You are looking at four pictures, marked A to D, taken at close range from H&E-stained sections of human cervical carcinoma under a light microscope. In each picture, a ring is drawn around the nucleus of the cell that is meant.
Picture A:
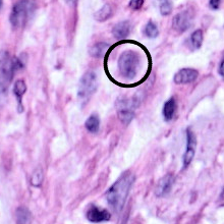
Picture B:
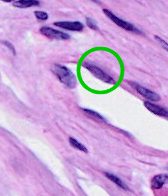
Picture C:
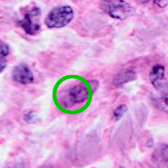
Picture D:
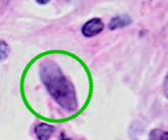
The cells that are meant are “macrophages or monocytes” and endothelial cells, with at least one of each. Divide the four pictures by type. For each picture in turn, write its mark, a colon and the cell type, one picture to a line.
A: macrophage or monocyte
B: endothelial cell
C: macrophage or monocyte
D: macrophage or monocyte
